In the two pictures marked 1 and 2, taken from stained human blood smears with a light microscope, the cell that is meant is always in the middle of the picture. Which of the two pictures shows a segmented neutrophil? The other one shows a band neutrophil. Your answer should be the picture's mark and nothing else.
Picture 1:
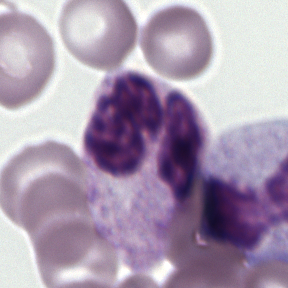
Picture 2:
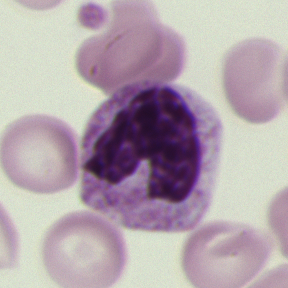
1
